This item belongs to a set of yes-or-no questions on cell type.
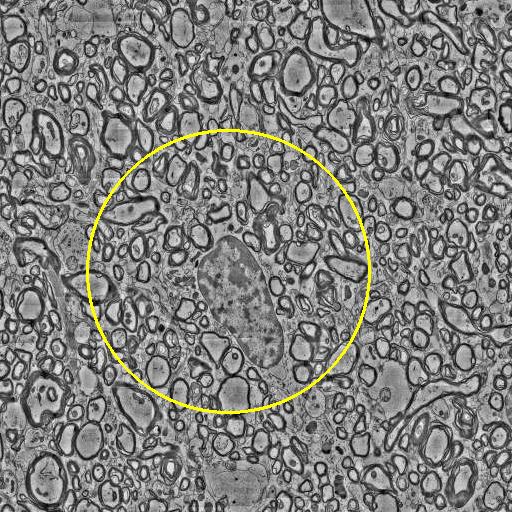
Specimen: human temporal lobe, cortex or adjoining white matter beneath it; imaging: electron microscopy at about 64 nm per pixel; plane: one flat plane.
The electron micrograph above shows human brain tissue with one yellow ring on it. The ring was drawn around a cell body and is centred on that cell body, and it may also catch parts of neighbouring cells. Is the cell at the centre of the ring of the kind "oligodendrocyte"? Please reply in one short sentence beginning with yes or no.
No, that cell is of another kind.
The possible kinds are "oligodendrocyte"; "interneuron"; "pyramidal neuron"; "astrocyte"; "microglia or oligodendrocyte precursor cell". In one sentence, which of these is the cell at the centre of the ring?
The cell this ring marks is a microglial cell or oligodendrocyte precursor cell.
